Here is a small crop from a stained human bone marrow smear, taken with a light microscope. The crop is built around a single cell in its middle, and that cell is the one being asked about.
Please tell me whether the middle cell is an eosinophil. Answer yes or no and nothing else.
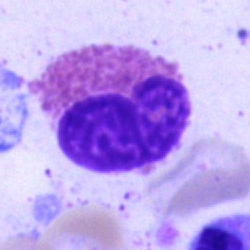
yes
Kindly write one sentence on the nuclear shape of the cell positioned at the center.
If you check the nucleus, you will find it split into two or more lobes.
